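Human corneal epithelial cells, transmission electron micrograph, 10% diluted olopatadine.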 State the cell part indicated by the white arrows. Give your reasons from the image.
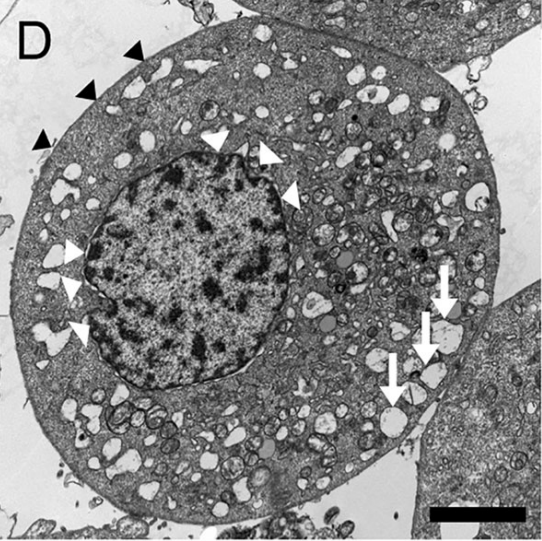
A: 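The arrows point at large pale irregular spaces in the cytoplasm. Pale spaces of many sizes fill much of the cytoplasm. On this evidence: vacuoles.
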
